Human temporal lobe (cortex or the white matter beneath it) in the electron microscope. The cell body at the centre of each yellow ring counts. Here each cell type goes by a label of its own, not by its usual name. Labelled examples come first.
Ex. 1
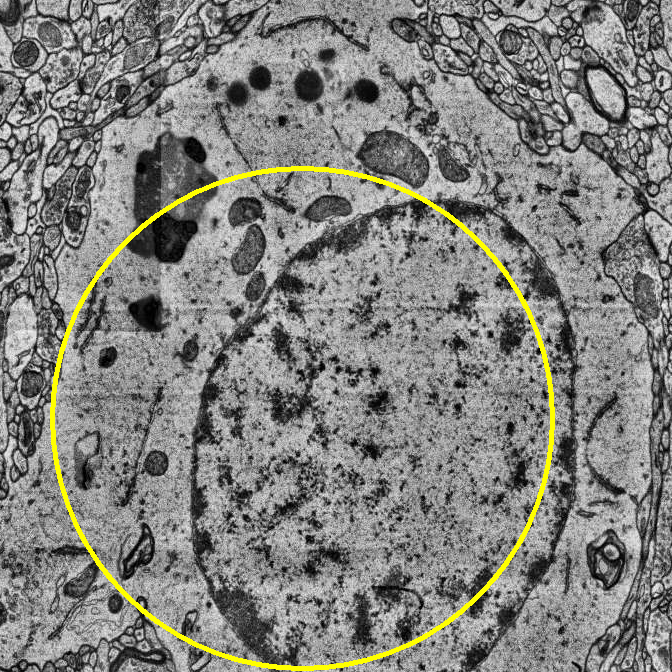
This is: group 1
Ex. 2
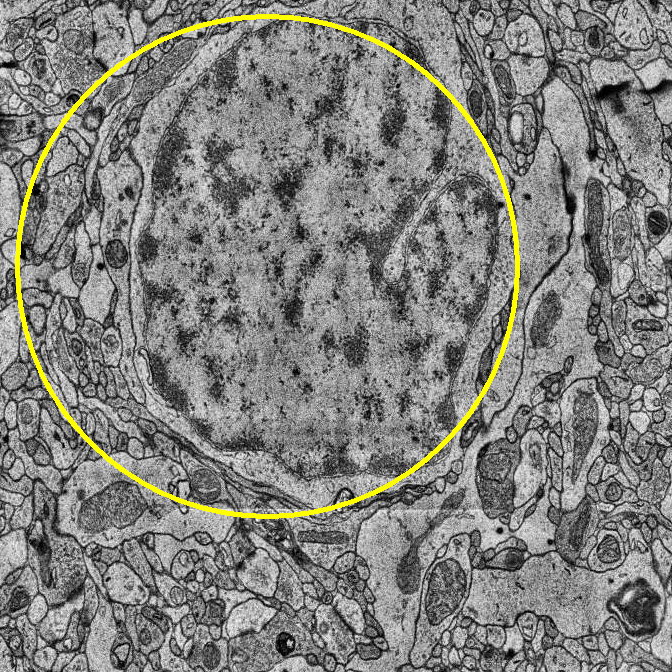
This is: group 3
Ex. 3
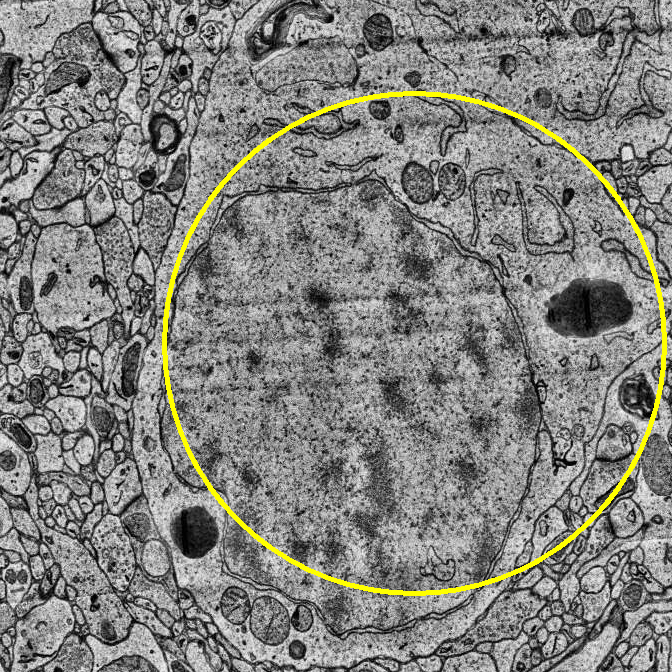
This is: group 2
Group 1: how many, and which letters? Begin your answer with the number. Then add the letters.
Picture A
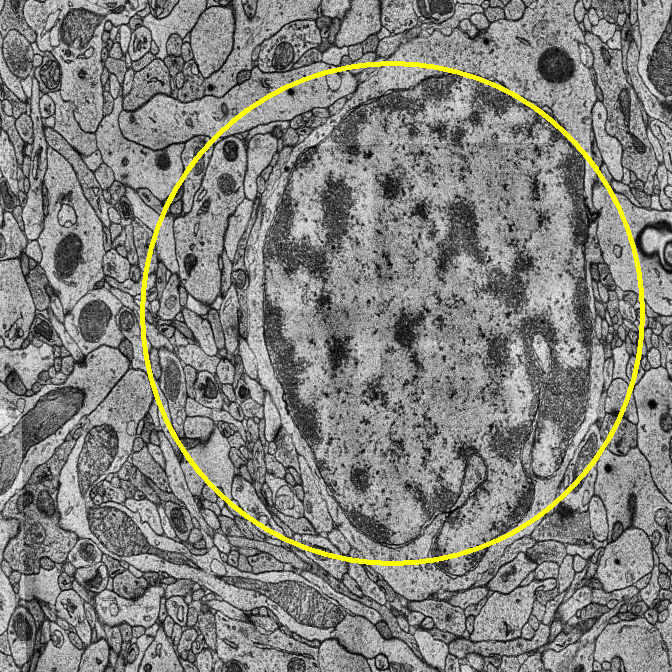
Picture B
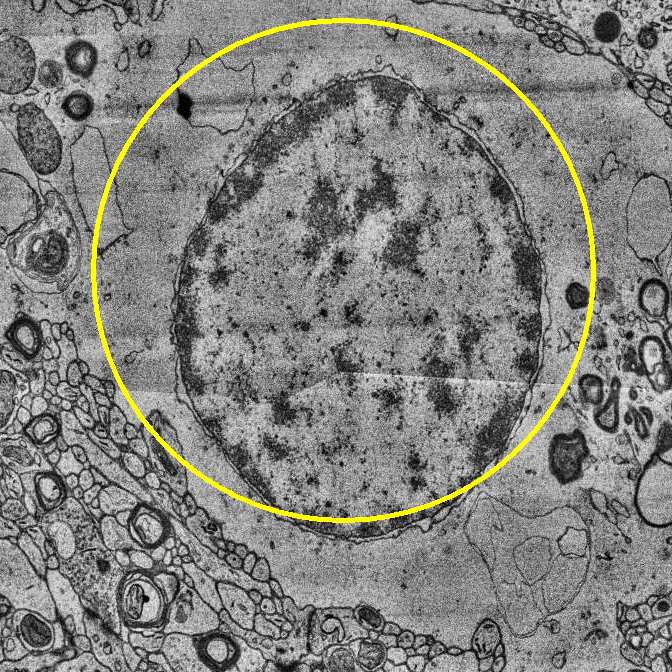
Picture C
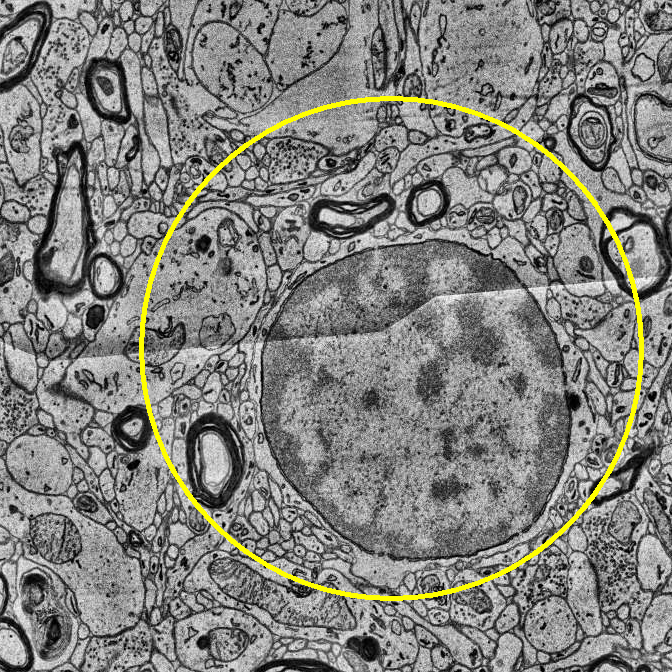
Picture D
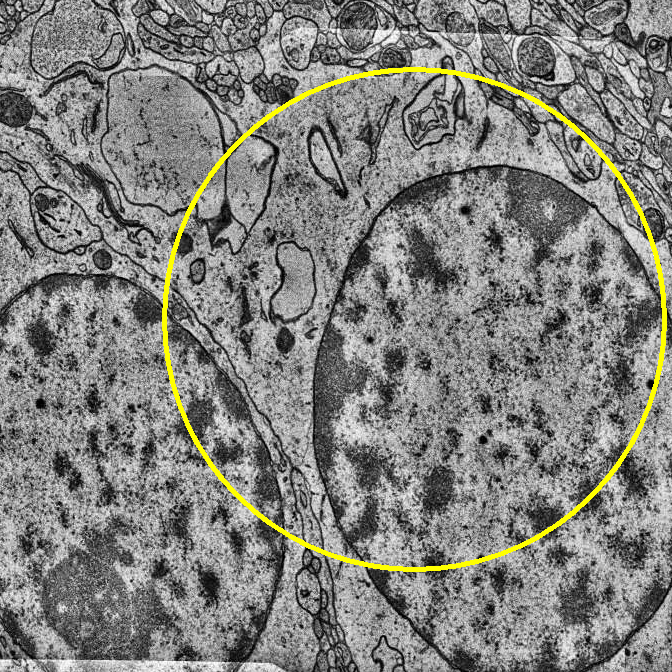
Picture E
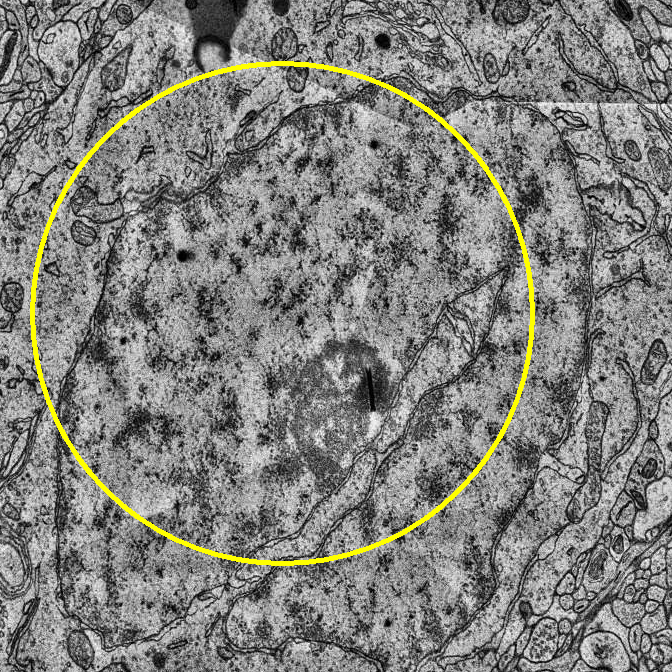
2: B, D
